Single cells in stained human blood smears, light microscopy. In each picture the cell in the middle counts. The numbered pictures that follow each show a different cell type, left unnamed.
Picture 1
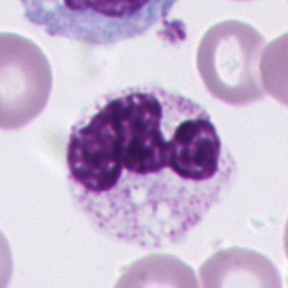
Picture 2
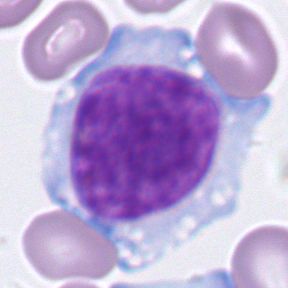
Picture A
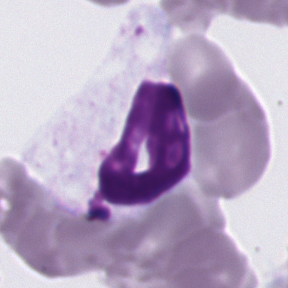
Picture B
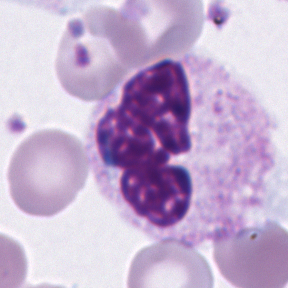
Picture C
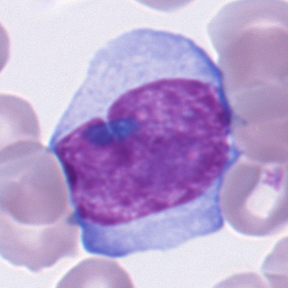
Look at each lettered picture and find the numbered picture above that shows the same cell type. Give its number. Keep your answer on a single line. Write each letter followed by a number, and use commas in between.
A 1, B 1, C 2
